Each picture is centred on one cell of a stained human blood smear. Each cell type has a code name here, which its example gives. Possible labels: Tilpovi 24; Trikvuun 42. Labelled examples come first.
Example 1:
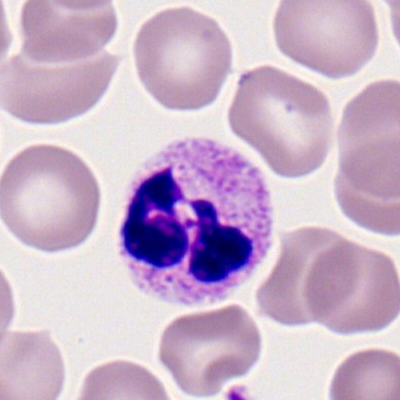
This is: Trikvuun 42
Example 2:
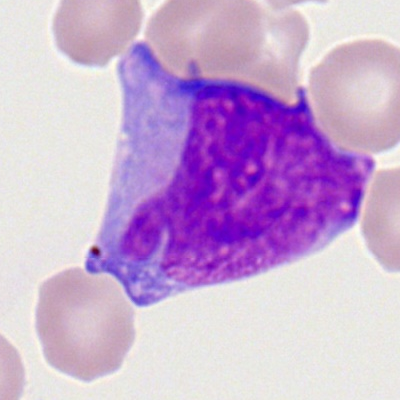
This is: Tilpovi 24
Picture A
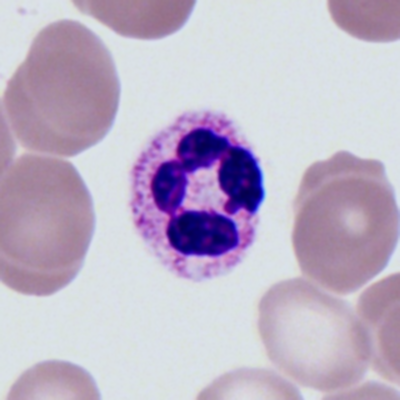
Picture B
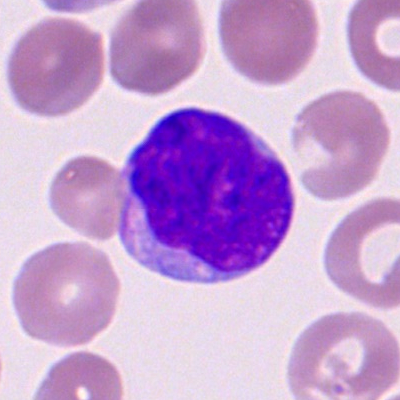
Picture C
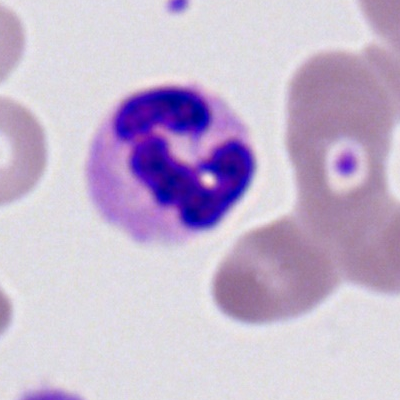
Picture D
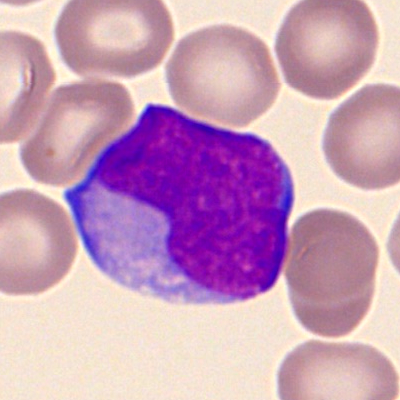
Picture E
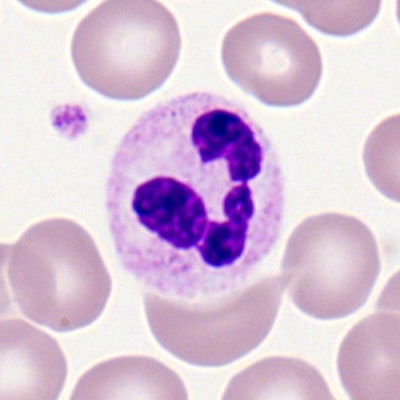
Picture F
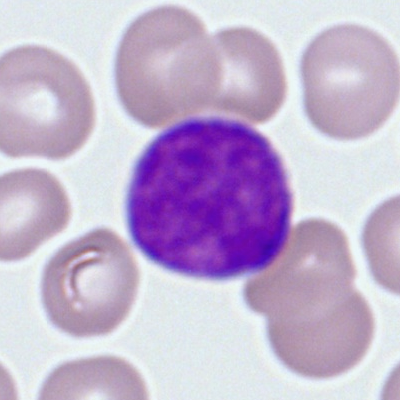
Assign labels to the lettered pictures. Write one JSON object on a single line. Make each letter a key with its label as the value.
{"A": "Trikvuun 42", "B": "Tilpovi 24", "C": "Trikvuun 42", "D": "Tilpovi 24", "E": "Trikvuun 42", "F": "Tilpovi 24"}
